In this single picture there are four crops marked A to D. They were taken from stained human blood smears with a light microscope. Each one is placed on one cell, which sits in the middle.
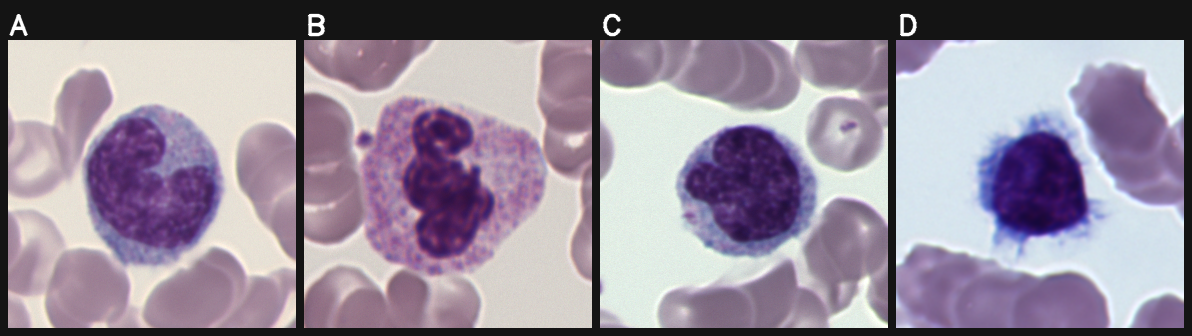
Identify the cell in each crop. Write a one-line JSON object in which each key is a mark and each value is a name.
{"A": "monocyte", "B": "segmented neutrophil", "C": "monocyte", "D": "hairy cell"}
